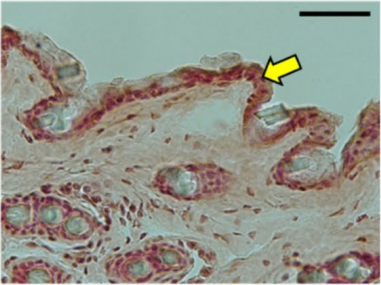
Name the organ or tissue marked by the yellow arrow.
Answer: Epidermal layer.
